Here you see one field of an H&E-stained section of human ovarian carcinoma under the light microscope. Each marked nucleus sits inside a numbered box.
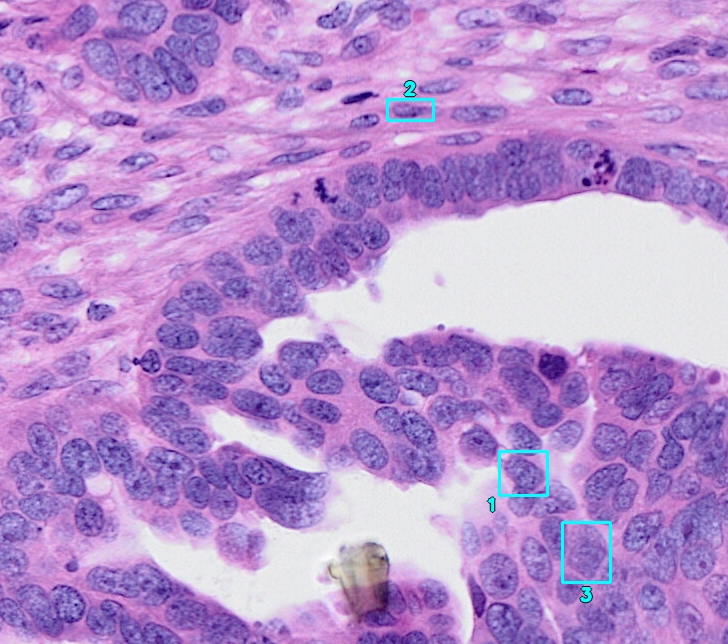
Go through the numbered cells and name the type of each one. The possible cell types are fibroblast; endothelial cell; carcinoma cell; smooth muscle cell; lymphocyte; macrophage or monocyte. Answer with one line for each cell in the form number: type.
1: carcinoma cell
2: fibroblast
3: carcinoma cell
